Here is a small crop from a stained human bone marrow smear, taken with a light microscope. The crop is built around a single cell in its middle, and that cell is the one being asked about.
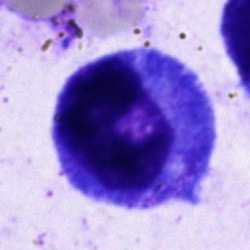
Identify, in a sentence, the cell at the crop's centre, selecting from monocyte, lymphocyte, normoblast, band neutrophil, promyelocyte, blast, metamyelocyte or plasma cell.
Of the cells in this crop, the central one is a promyelocyte.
